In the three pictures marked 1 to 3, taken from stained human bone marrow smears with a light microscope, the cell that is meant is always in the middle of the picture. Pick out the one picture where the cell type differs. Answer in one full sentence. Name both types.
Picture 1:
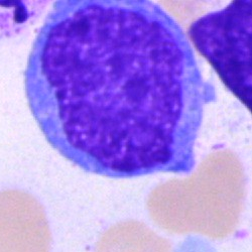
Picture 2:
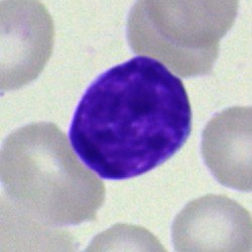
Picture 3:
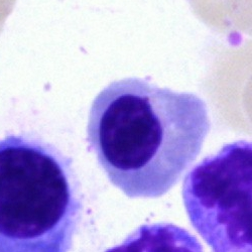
All pictures except 3 show blasts; picture 3 shows an erythroblast.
